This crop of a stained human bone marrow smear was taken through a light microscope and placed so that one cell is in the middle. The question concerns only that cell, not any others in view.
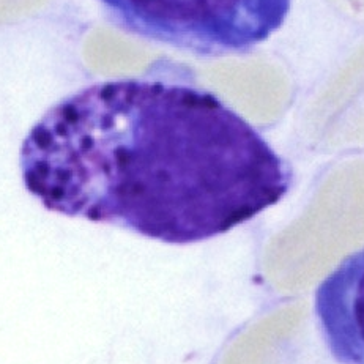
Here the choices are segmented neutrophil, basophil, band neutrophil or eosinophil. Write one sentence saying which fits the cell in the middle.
In the middle of this smear crop is a basophil.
